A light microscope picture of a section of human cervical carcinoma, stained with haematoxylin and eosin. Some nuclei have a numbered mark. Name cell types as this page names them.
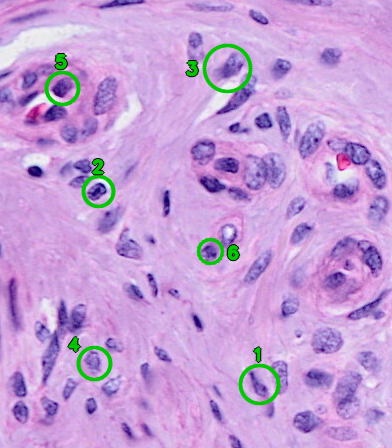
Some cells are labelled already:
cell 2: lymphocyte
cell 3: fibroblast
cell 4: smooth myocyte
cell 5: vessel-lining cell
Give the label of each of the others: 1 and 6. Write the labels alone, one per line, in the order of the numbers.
fibroblast
smooth myocyte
